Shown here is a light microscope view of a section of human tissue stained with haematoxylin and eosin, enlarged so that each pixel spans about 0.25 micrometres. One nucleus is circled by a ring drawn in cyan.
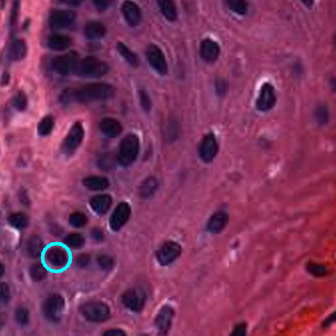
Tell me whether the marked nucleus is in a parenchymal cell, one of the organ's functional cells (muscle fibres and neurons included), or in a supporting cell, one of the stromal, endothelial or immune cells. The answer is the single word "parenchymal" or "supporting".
parenchymal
